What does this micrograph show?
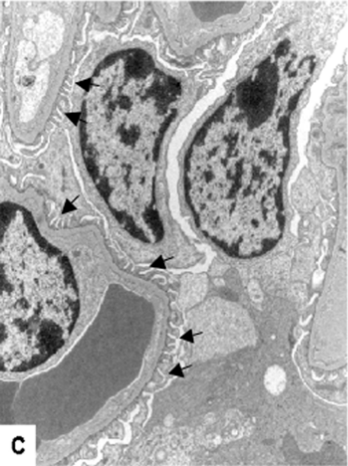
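This electron micrograph shows a glomerulus with podocytes and their foot processes along the capillary wall. Several large cells with oval nuclei and patchy dark chromatin lie close to the capillary loops. A thin grey basement membrane separates the capillaries from the urinary space, and a capillary lumen at lower left holds a dense red blood cell. Along the outer side of the basement membrane many small, separate foot processes stand in regular rows with narrow gaps between them. The filtration wall looks orderly, with well-preserved interdigitating foot processes.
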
